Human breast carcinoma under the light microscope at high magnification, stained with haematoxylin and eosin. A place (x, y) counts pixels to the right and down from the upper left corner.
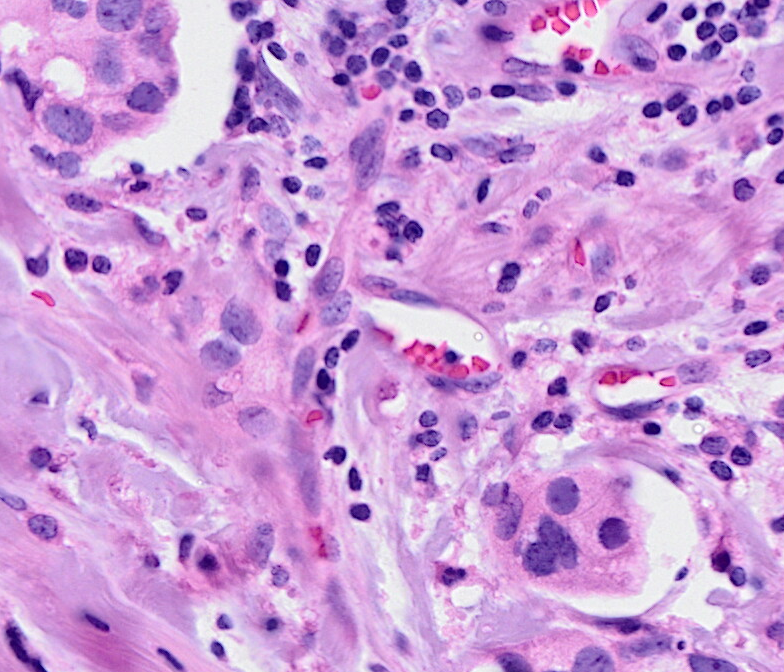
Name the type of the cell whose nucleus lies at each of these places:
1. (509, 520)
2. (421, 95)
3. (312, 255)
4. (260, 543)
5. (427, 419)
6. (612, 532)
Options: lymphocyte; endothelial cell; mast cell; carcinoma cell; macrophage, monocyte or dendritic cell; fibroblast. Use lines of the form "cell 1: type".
cell 1: carcinoma cell
cell 2: lymphocyte
cell 3: lymphocyte
cell 4: fibroblast
cell 5: lymphocyte
cell 6: carcinoma cell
